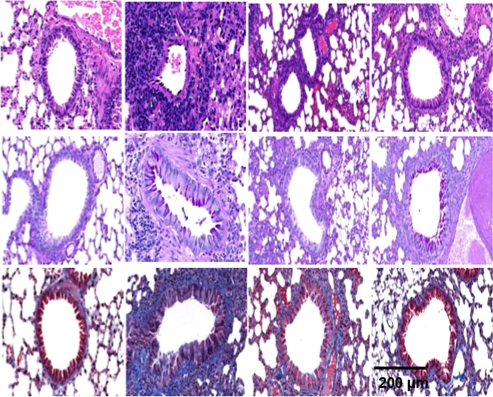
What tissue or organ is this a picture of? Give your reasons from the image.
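Round airway lumens lined by a continuous epithelium. Surrounding thin-walled air spaces of alveolar parenchyma.
Answer: lung tissues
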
